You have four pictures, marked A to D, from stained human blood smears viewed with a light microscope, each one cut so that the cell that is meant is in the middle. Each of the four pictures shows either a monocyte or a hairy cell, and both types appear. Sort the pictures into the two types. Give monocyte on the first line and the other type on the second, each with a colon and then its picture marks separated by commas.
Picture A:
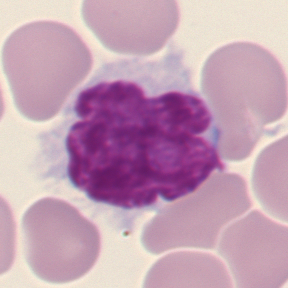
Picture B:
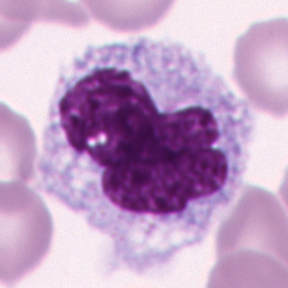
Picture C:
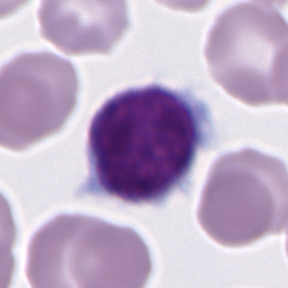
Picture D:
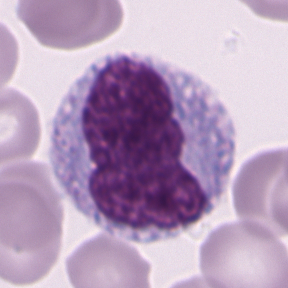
monocyte: B, D
hairy cell: A, C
